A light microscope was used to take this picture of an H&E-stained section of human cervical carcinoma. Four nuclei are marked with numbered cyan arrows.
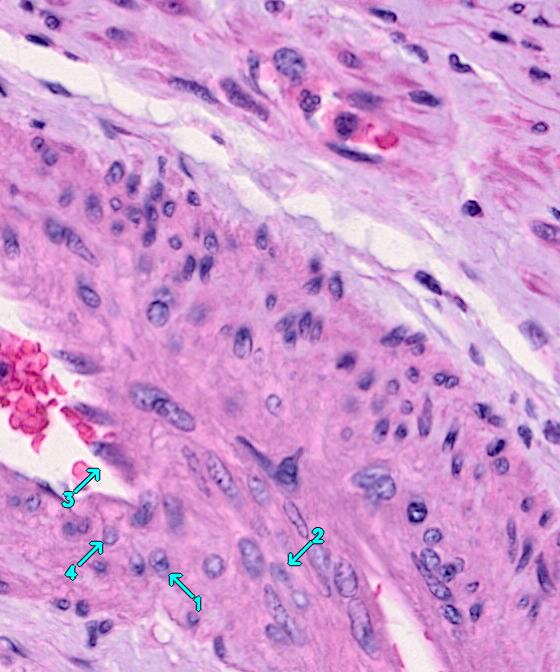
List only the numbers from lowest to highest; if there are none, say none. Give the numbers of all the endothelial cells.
3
